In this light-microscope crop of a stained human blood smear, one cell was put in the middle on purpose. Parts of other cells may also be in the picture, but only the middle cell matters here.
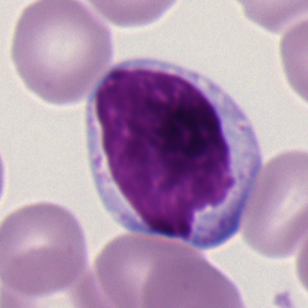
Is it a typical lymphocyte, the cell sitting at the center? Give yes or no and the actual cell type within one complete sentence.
No, the cell in the middle is not a typical lymphocyte but a large granular lymphocyte.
